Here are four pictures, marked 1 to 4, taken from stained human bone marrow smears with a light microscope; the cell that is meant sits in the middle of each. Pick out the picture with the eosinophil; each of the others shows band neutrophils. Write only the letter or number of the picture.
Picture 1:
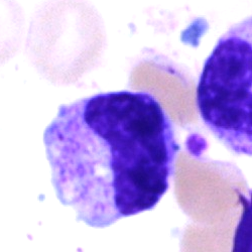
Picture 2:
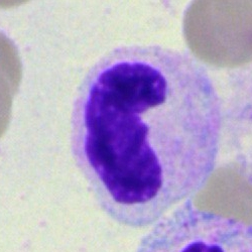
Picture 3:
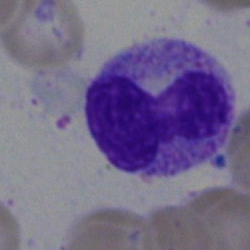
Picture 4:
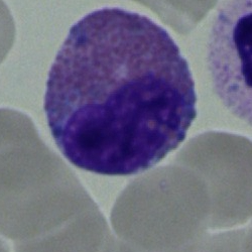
4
